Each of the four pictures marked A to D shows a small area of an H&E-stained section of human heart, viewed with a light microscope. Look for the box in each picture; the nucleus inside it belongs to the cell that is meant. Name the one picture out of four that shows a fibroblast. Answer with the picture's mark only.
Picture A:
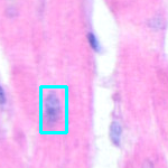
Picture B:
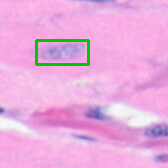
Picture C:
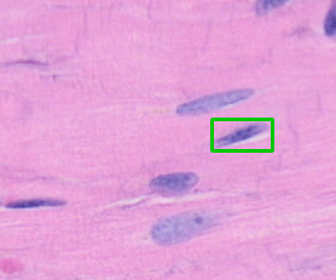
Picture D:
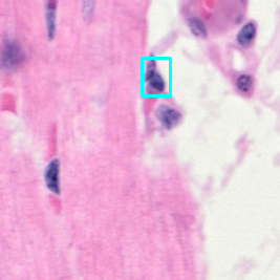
D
